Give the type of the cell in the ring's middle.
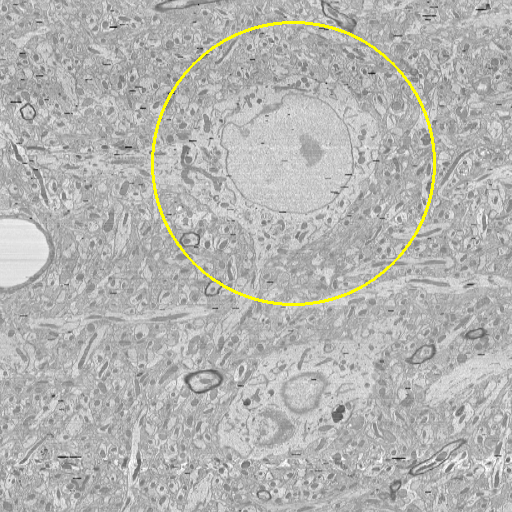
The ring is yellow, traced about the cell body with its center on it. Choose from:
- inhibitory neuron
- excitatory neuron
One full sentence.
Here, an excitatory neuron is the cell lying at the center of the yellow ring.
